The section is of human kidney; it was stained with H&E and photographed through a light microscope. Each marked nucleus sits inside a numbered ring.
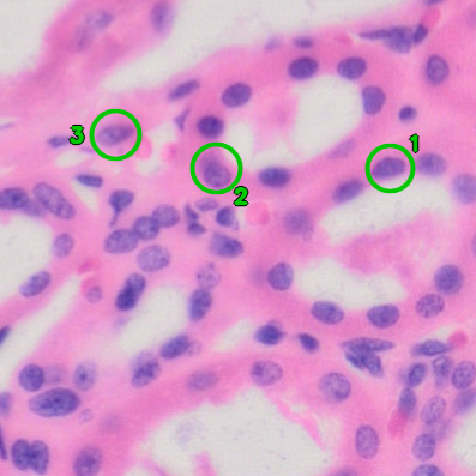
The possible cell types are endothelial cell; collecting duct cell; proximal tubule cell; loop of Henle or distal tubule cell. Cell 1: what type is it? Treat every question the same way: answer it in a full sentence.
It is as a loop of Henle or distal tubule cell that the cell numbered 1 is identified.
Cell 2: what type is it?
The cell referred to as 2 is a collecting duct cell.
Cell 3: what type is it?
Classified as a collecting duct cell is the cell with the number 3.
